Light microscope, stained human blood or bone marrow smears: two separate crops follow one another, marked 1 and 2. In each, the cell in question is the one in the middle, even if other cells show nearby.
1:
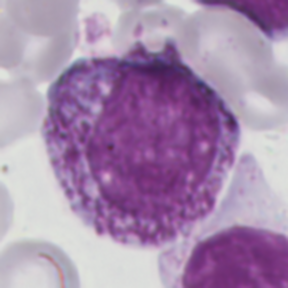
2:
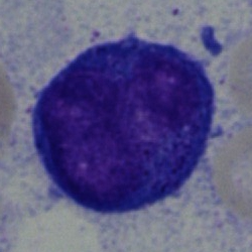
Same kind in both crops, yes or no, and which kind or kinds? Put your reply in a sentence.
Yes, in both of the crops, the central cells are promyelocytes.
